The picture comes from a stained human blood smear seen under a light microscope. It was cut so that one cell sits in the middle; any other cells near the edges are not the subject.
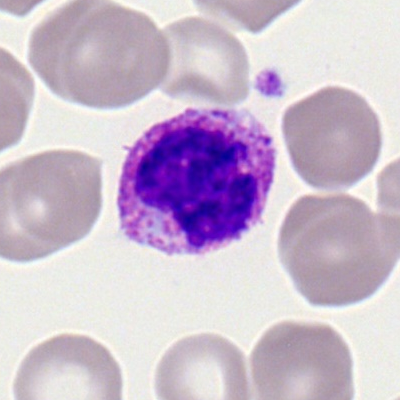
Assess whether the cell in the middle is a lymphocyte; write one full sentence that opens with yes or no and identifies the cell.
No, what is seen at the centre is a basophil instead of a lymphocyte.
